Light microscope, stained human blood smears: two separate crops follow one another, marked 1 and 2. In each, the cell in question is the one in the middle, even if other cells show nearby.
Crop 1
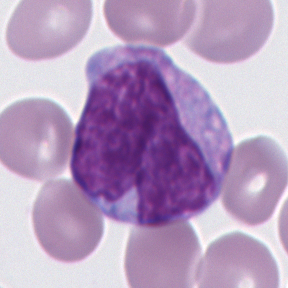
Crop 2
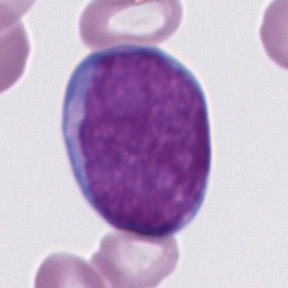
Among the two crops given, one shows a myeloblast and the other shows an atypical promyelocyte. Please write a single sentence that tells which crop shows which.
Crop 1 is an atypical promyelocyte; crop 2, on the other hand, is a myeloblast.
